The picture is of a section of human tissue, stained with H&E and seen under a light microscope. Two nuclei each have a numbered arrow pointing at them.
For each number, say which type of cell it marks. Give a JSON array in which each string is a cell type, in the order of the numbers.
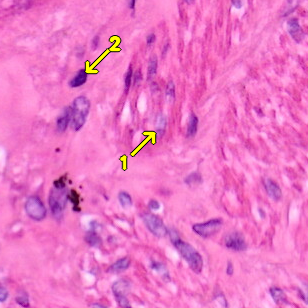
["smooth muscle cell or pericyte", "mast cell"]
